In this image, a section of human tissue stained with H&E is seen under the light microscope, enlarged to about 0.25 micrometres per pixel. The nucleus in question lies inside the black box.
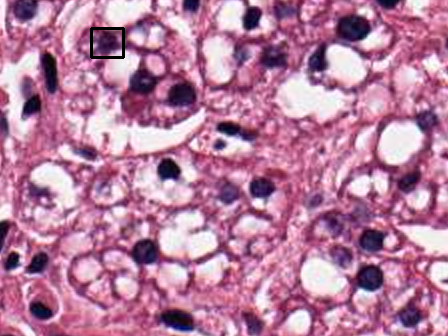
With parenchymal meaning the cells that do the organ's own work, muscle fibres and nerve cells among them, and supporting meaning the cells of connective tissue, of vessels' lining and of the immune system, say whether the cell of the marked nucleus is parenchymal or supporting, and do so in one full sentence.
The marked nucleus is attributed to a parenchymal cell, namely an adrenal cortical cell.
